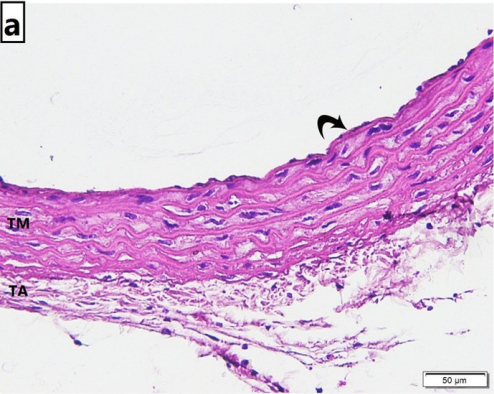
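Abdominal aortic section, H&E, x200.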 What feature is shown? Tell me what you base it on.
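Continuous undulated elastic lamellae. Many wavy pink bands run parallel through the wall. The wavy bands are continuous along the section. Elongated nuclei lie between the bands.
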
